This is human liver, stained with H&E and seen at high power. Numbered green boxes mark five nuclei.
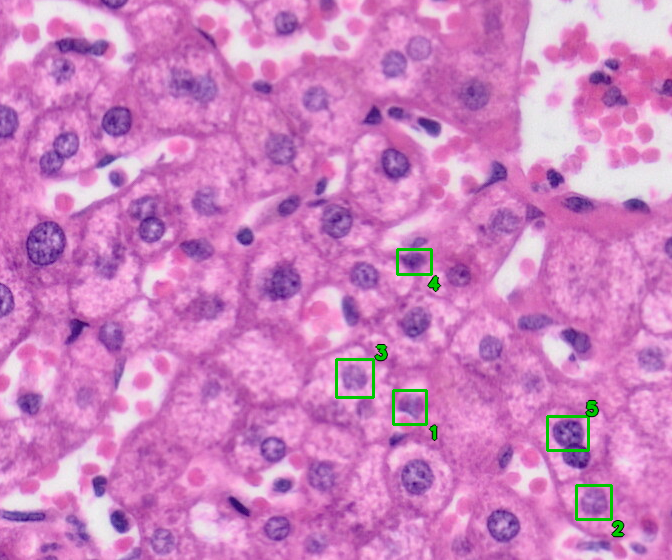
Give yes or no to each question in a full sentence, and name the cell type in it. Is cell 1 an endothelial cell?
Yes, that is correct: the cell numbered 1 is an endothelial cell.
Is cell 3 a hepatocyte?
Yes, number 3 is assigned to a cell that is a hepatocyte.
